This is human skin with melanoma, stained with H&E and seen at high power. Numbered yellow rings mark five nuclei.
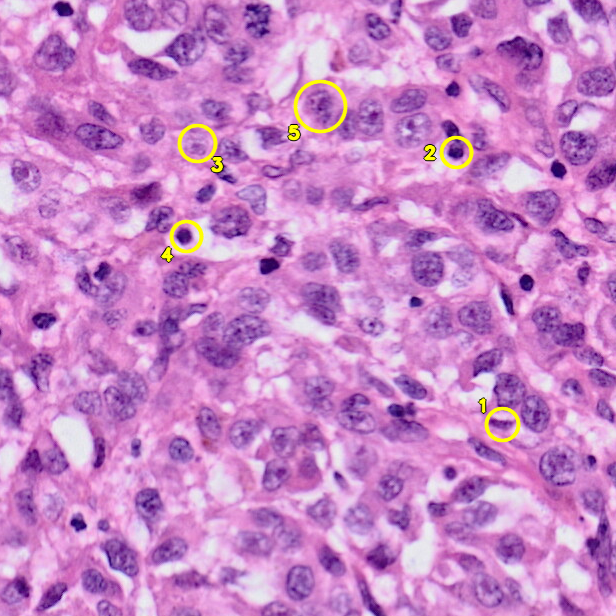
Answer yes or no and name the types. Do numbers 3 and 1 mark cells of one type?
Yes, cells 3 and 1 are both termed melanoma cells.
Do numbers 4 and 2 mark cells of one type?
Yes, for cells 4 and 2 alike, the identity is that of lymphocytes.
